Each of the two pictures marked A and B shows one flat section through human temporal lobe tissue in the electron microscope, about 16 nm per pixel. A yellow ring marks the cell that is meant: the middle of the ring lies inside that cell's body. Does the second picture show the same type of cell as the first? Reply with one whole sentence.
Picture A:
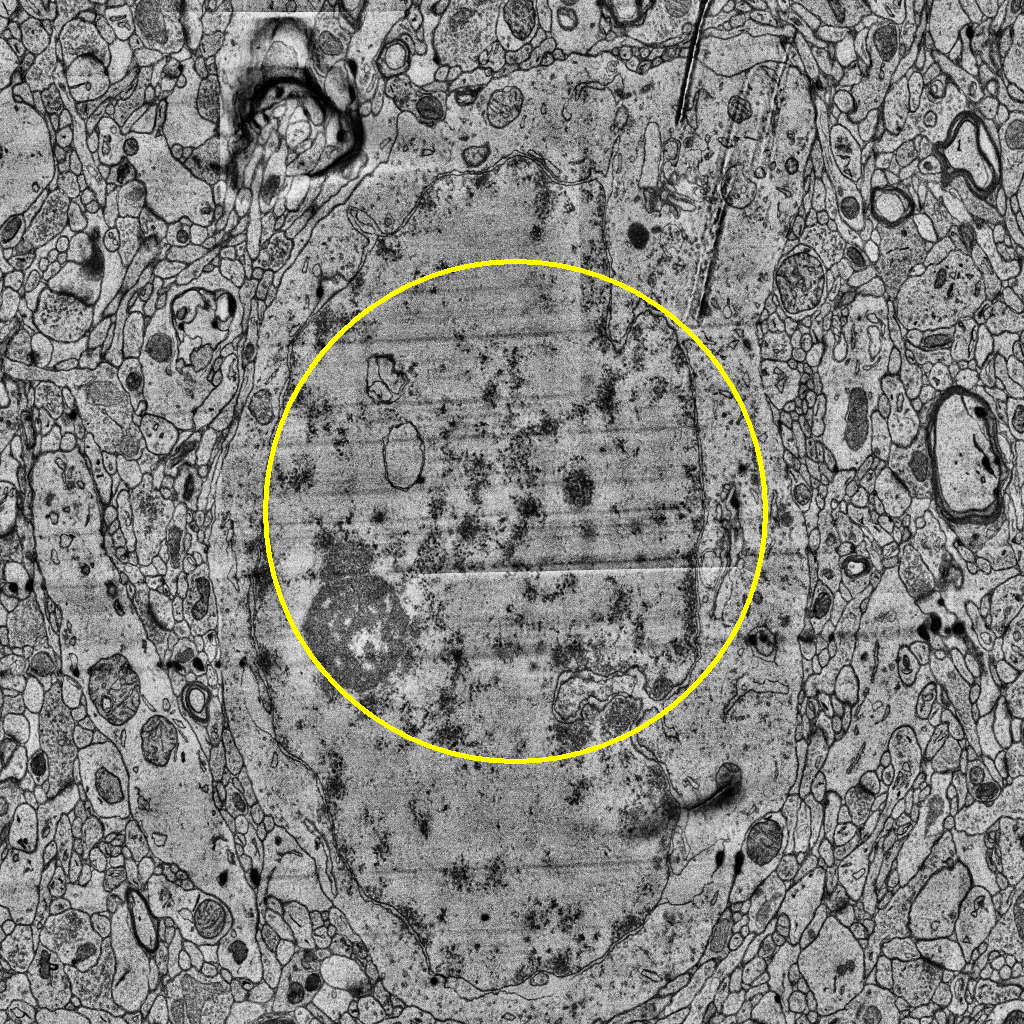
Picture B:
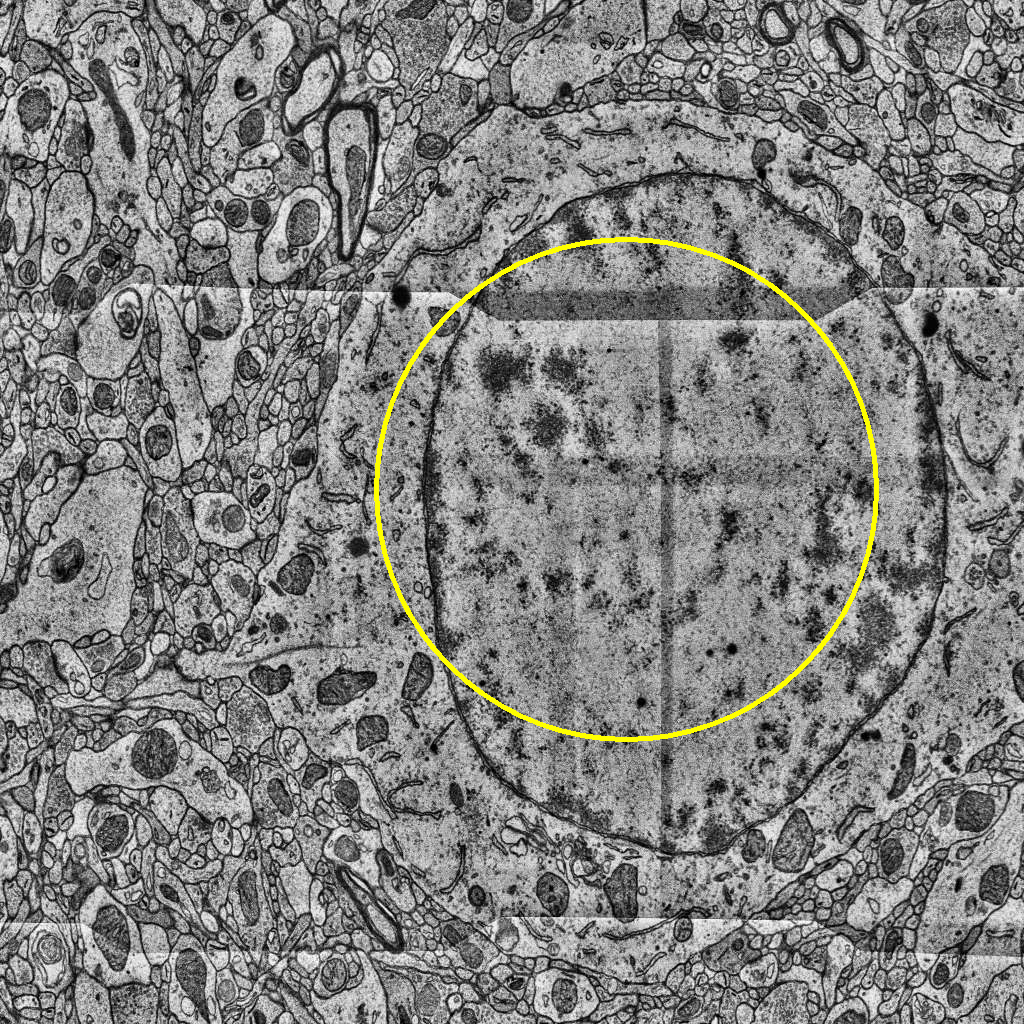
No; the cell in picture A is an interneuron, while the one in picture B is a pyramidal neuron.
